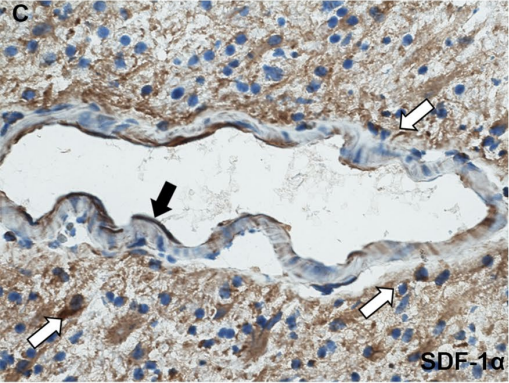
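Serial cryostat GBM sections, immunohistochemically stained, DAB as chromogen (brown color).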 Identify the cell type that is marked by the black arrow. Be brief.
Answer: Endothelial cells.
